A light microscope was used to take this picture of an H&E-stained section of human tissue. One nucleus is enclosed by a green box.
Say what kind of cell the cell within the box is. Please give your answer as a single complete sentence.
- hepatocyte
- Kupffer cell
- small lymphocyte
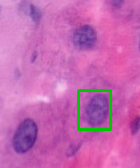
In the stained section, the cell within the box is a hepatocyte.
